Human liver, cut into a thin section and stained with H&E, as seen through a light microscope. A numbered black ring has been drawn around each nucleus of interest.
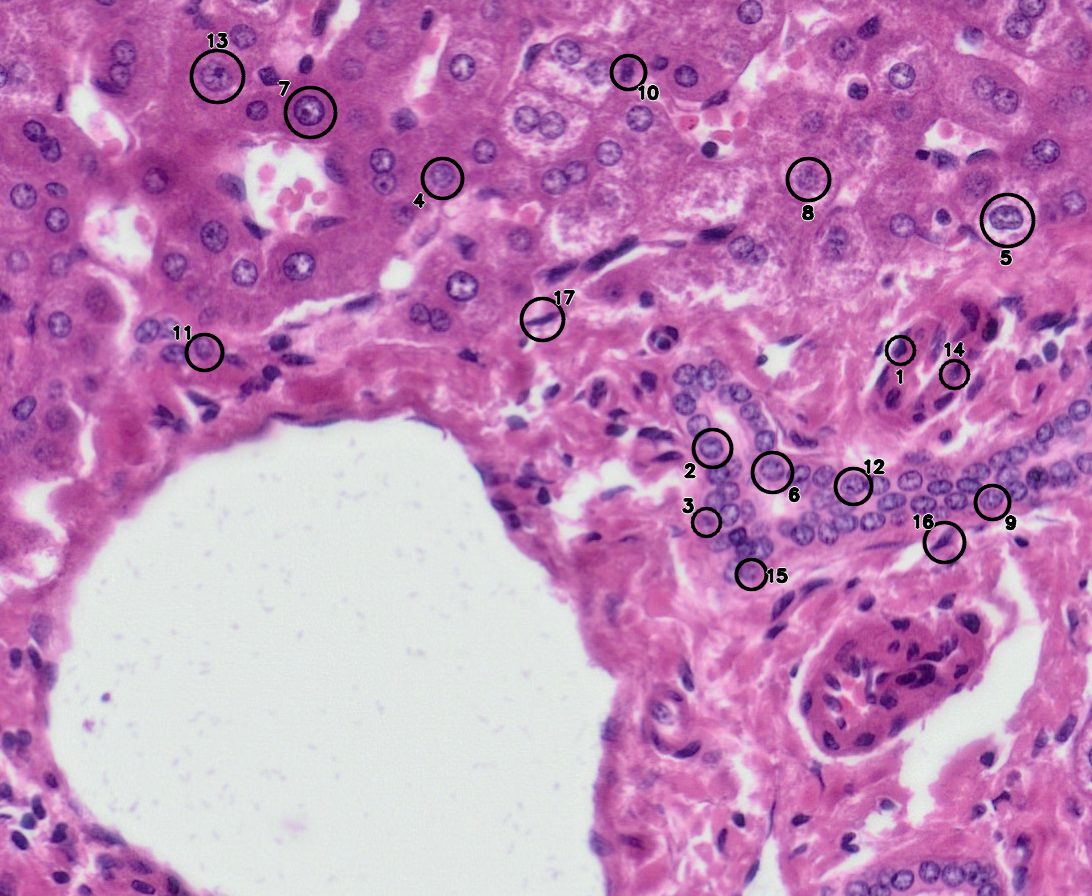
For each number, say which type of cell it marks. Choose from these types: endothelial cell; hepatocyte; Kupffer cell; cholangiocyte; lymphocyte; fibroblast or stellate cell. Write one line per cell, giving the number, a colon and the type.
1: fibroblast or stellate cell
2: cholangiocyte
3: cholangiocyte
4: hepatocyte
5: hepatocyte
6: cholangiocyte
7: hepatocyte
8: hepatocyte
9: cholangiocyte
10: fibroblast or stellate cell
11: cholangiocyte
12: cholangiocyte
13: hepatocyte
14: fibroblast or stellate cell
15: cholangiocyte
16: fibroblast or stellate cell
17: fibroblast or stellate cell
